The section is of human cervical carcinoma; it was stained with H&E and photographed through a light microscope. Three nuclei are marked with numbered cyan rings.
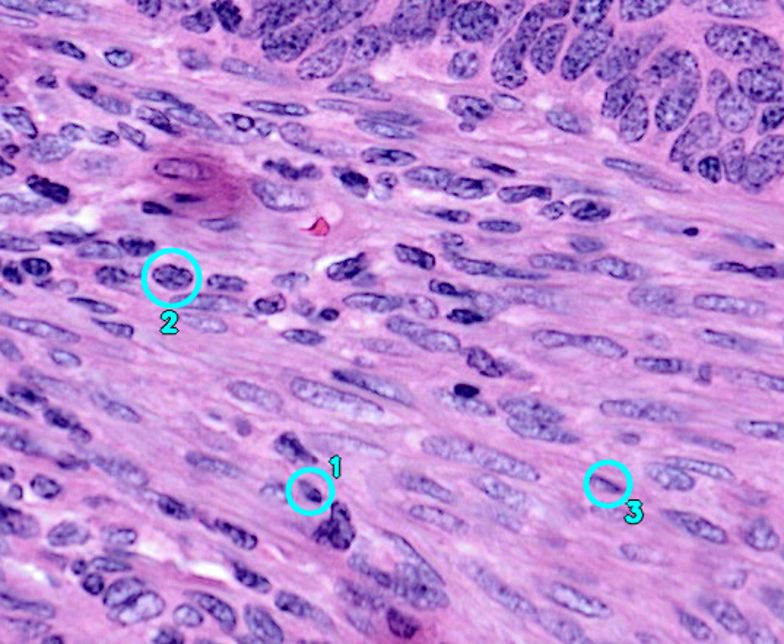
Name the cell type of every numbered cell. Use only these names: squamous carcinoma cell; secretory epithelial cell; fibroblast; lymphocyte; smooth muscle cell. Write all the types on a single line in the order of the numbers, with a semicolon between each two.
lymphocyte; lymphocyte; smooth muscle cell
